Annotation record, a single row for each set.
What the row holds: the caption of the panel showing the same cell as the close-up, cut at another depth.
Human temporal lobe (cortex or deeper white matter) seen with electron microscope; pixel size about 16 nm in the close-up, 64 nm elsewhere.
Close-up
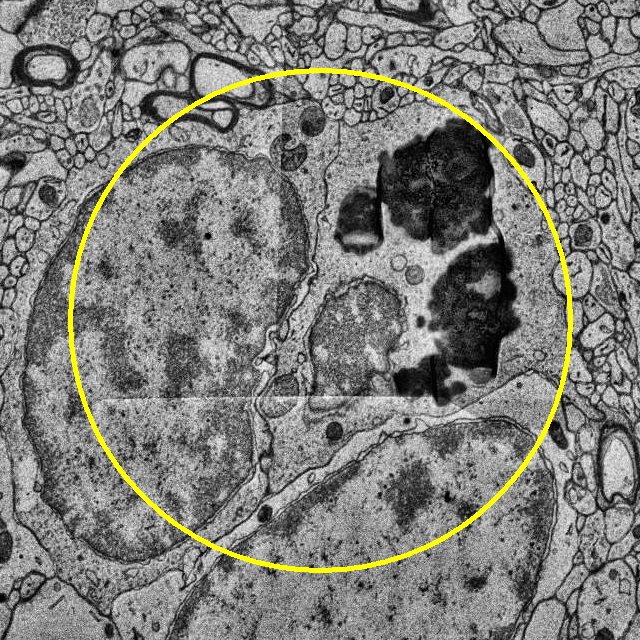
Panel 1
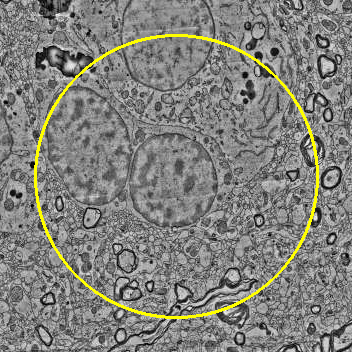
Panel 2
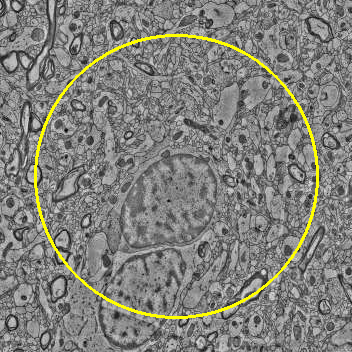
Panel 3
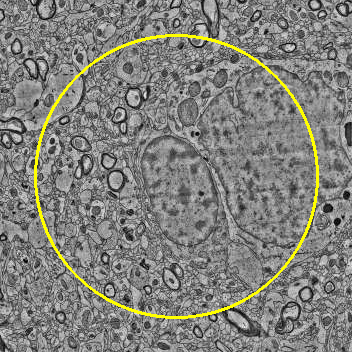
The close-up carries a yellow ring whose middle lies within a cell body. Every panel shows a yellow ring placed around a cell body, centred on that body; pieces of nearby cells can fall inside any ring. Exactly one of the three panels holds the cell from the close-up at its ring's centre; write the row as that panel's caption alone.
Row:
Panel 2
